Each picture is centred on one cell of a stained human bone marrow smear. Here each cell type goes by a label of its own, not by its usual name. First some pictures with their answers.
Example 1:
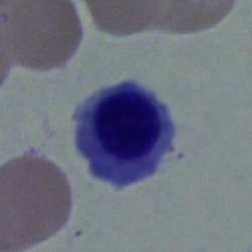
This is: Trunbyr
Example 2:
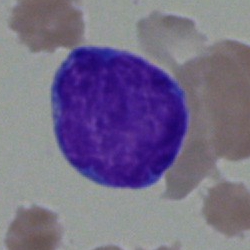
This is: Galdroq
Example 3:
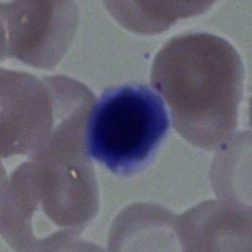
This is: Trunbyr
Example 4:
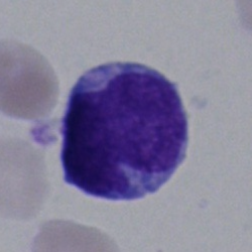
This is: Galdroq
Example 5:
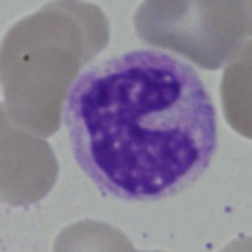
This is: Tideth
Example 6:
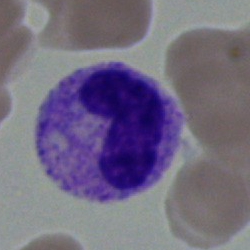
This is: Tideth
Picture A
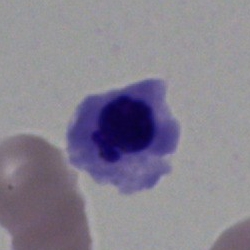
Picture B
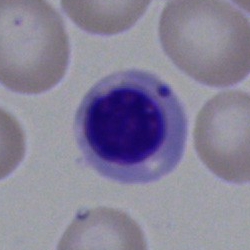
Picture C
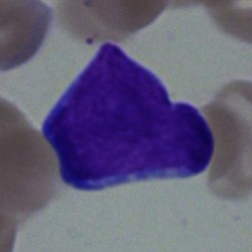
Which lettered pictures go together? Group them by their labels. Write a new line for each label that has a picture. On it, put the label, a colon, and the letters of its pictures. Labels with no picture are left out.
Trunbyr: A, B
Galdroq: C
